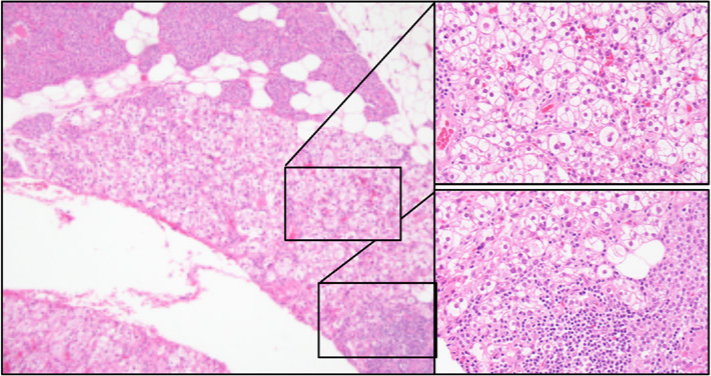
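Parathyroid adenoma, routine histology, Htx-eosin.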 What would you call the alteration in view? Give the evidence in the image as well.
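Small dark lymphocytes are scattered between clear-cytoplasm tumor cells in the upper inset. A denser collection of lymphocytes lies at the edge of the tumor tissue in the lower inset.
Hence: Diffuse tumor inflammatory infiltrates.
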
